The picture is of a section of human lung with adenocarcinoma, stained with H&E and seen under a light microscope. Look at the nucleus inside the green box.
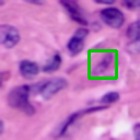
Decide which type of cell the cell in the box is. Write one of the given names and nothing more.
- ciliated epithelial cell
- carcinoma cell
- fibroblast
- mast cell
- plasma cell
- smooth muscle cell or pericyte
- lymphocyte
plasma cell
